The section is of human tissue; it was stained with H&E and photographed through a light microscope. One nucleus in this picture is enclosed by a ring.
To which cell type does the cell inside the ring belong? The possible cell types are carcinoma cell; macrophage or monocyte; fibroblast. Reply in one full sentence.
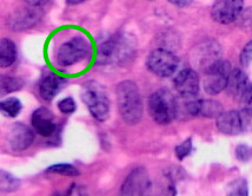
In cell-type terms, the cell inside the ring is a carcinoma cell.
